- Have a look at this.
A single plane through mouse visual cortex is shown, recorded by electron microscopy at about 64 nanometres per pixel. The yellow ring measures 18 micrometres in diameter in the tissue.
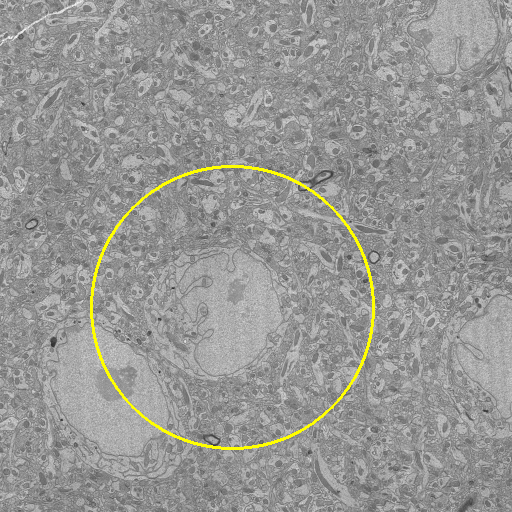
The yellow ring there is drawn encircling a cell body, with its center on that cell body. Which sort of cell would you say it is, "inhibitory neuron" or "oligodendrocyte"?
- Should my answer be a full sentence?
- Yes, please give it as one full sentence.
For this picture, an inhibitory neuron is the cell where the yellow ring has its center.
